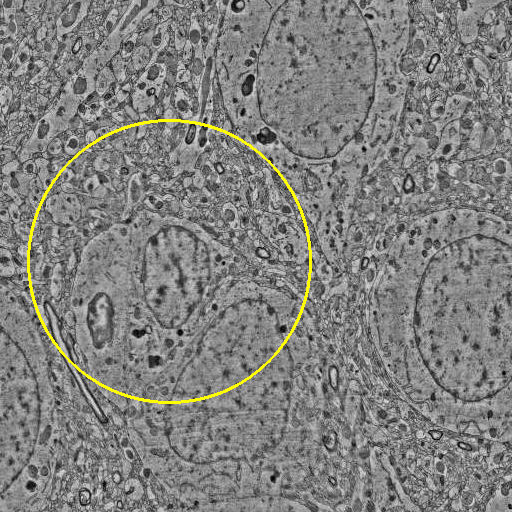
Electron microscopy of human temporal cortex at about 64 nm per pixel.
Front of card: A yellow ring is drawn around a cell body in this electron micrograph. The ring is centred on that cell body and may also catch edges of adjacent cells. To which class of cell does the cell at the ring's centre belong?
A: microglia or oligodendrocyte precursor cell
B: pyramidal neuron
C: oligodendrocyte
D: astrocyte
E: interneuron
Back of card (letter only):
E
